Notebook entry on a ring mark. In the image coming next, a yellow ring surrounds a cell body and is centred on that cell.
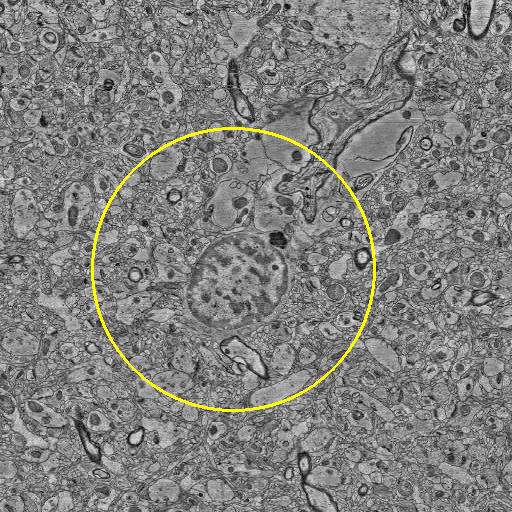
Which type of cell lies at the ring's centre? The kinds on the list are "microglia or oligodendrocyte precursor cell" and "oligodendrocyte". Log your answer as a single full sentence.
Centred in the yellow ring is an oligodendrocyte, the cell recorded for this image.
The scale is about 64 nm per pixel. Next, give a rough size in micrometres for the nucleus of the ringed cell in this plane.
The nucleus appears roughly 7 by 6 micrometres in this plane.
